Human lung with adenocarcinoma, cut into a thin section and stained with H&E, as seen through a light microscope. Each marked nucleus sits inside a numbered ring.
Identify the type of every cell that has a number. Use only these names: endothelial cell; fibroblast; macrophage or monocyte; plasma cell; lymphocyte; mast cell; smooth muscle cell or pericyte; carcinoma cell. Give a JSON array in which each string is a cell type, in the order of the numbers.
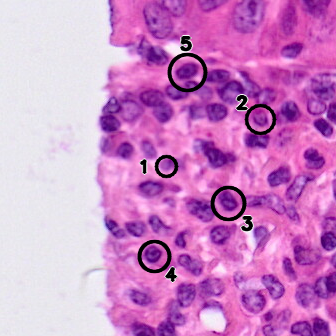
["lymphocyte", "plasma cell", "plasma cell", "plasma cell", "lymphocyte"]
